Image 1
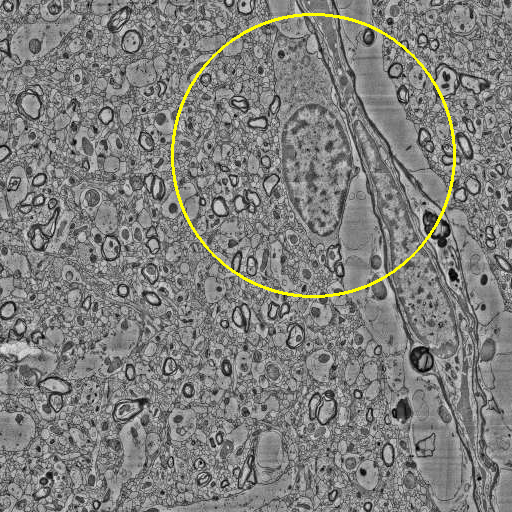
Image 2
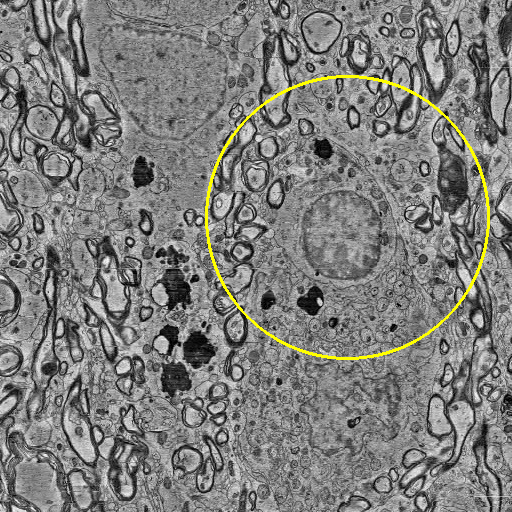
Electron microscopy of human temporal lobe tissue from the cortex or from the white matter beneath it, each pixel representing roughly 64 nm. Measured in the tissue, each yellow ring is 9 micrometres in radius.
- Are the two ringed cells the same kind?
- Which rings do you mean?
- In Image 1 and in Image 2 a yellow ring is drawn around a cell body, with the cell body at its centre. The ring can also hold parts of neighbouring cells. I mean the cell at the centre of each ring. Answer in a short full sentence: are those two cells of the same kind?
Yes, both cells are of the same kind.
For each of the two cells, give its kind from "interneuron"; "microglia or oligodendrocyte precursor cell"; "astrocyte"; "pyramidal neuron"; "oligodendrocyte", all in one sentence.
In the first picture and in the second, the ring is centred on an oligodendrocyte.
